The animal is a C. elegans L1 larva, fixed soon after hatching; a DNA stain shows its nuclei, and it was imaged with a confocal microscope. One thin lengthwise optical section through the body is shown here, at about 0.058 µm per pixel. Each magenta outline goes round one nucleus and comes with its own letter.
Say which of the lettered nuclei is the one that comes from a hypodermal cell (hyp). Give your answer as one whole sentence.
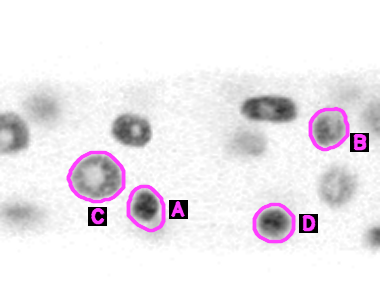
C is the nucleus of a hypodermal cell (hyp).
